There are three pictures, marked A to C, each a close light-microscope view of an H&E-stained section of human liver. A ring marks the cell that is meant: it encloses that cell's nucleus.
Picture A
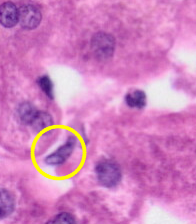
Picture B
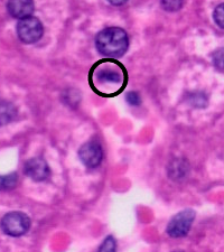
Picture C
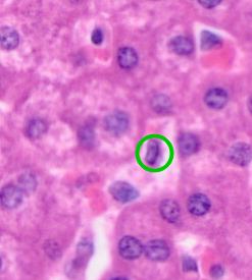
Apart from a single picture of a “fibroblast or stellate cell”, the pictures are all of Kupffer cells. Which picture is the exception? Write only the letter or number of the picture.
B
